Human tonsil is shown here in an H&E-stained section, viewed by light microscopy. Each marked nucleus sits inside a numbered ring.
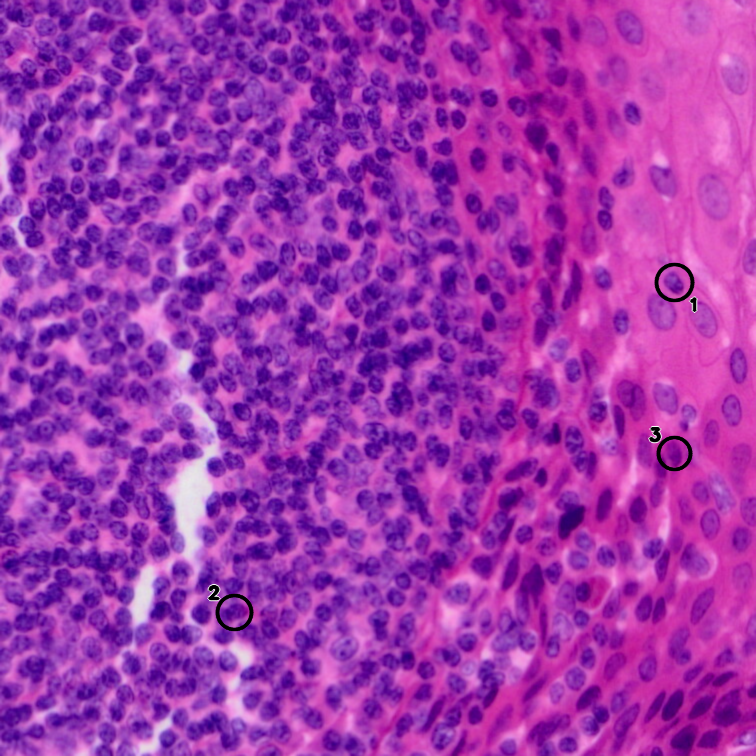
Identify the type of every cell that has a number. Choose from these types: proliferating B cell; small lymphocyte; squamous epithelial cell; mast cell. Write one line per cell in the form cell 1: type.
cell 1: squamous epithelial cell
cell 2: small lymphocyte
cell 3: squamous epithelial cell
